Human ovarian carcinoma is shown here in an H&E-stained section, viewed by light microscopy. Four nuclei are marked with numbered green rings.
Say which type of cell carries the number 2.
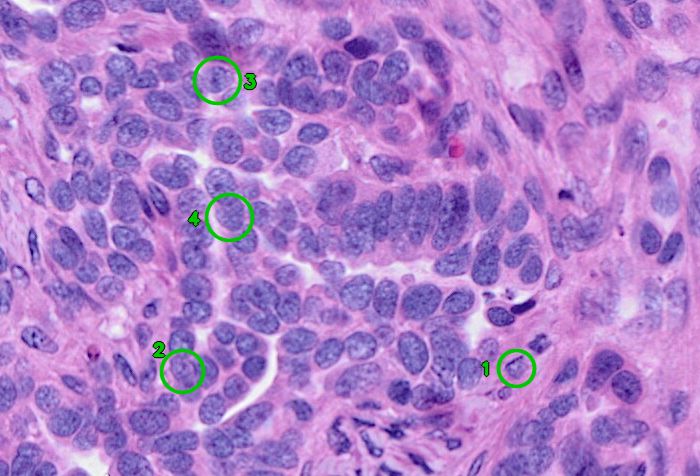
carcinoma cell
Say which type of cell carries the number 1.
fibroblast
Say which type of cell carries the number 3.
carcinoma cell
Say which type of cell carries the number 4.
carcinoma cell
